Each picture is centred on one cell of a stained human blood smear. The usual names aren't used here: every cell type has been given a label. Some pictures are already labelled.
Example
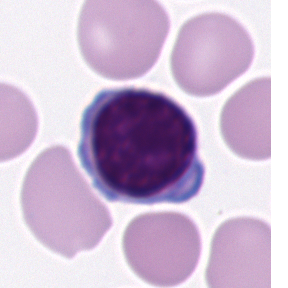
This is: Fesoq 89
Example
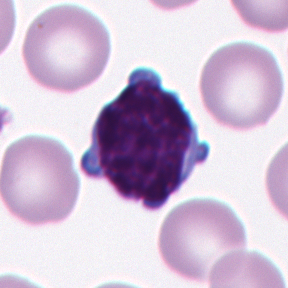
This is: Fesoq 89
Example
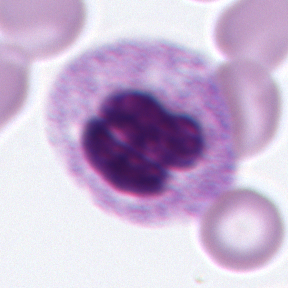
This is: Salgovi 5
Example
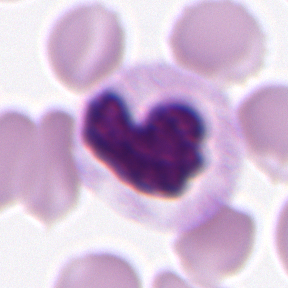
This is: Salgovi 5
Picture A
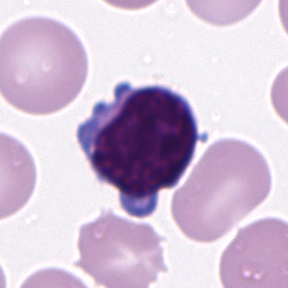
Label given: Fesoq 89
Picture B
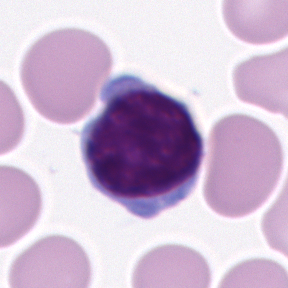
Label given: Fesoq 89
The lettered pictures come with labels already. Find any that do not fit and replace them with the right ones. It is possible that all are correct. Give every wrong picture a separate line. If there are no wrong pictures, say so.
No label is wrong.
